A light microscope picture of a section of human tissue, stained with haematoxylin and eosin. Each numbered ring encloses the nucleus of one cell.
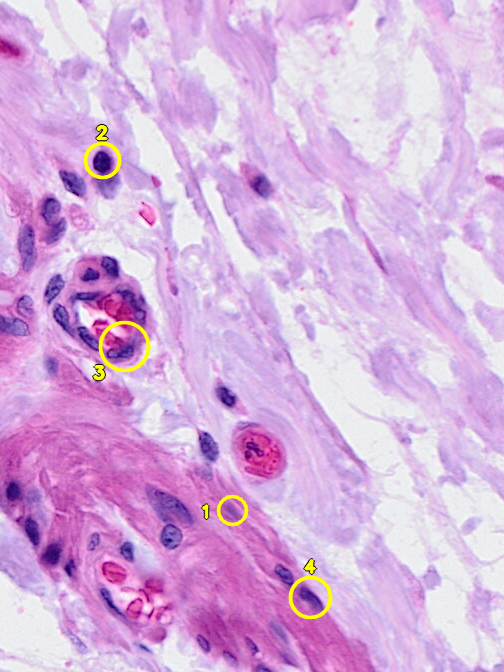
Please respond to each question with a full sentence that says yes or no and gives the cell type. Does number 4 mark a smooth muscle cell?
Yes, number 4 marks a cell that is a smooth muscle cell.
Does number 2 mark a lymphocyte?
Yes, the cell at number 2 is a lymphocyte.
